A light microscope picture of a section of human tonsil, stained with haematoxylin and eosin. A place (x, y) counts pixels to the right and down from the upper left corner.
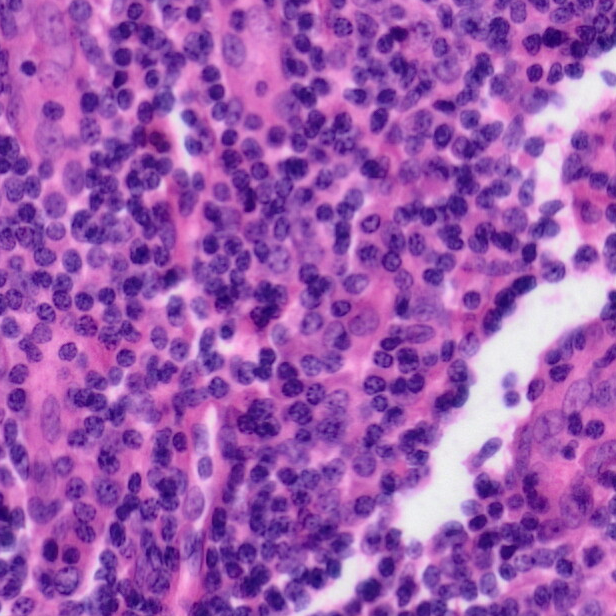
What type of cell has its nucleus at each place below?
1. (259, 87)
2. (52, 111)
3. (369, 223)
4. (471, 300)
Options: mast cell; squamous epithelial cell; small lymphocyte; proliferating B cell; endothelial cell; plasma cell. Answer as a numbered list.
1. endothelial cell
2. endothelial cell
3. plasma cell
4. endothelial cell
